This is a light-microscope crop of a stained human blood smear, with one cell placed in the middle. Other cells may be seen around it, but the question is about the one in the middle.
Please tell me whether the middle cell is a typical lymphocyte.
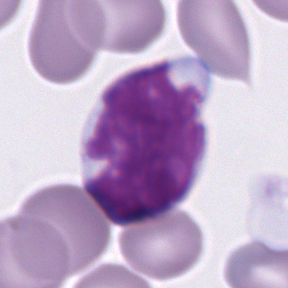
yes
